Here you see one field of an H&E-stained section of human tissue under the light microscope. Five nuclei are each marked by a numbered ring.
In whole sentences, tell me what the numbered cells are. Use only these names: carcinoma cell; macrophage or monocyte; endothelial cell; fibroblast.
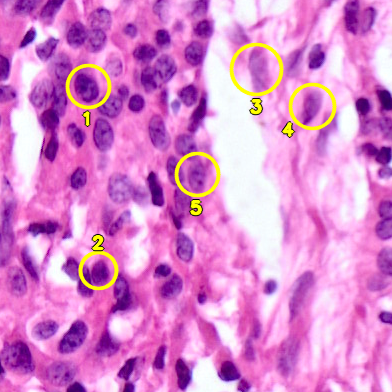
Cells 1, 2 and 5 are carcinoma cells. Cells 3 and 4 are fibroblasts.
